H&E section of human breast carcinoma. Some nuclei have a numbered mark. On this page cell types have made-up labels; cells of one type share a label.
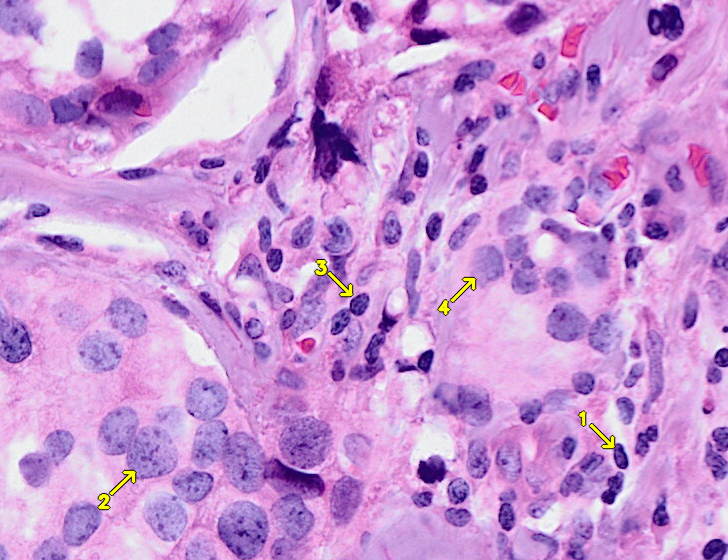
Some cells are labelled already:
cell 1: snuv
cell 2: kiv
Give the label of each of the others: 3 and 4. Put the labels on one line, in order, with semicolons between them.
snuv; kiv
